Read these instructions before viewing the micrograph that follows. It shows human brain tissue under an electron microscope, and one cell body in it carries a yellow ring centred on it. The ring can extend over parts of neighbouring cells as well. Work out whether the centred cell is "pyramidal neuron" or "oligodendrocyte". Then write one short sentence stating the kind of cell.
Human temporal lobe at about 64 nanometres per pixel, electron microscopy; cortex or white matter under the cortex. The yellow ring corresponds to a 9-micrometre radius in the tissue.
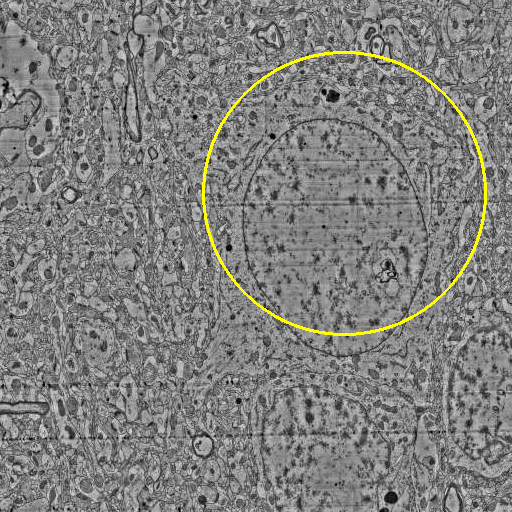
The ringed cell is a pyramidal neuron.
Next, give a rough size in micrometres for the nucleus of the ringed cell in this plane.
About 15 by 12 micrometres in this plane.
